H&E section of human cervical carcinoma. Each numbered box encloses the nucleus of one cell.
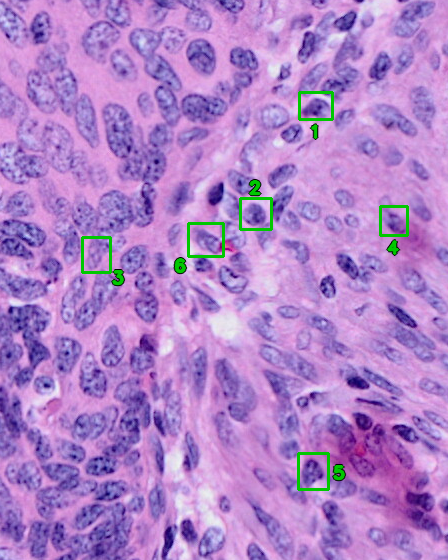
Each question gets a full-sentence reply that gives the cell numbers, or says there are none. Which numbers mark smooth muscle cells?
Cell 4 alone, of all the numbered cells, is a smooth muscle cell.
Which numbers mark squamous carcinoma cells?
Cell 3 represents a squamous carcinoma cell, and no other numbered cell does.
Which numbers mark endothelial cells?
Cell 6 is the only numbered cell that is an endothelial cell.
